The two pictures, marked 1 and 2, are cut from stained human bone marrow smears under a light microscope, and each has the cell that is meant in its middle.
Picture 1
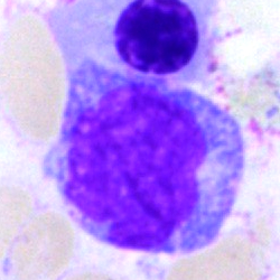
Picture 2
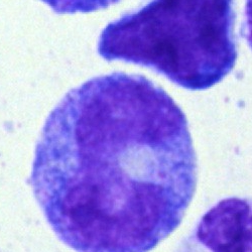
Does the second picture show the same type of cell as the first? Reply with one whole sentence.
Yes, both are monocytes.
